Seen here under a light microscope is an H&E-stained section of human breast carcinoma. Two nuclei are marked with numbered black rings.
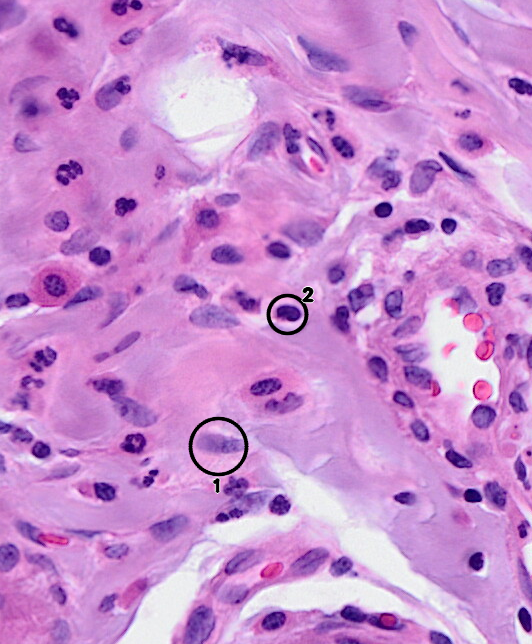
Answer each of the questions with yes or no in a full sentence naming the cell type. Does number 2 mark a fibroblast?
No, sorry, the cell labelled 2 is not a fibroblast; it is a lymphocyte.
